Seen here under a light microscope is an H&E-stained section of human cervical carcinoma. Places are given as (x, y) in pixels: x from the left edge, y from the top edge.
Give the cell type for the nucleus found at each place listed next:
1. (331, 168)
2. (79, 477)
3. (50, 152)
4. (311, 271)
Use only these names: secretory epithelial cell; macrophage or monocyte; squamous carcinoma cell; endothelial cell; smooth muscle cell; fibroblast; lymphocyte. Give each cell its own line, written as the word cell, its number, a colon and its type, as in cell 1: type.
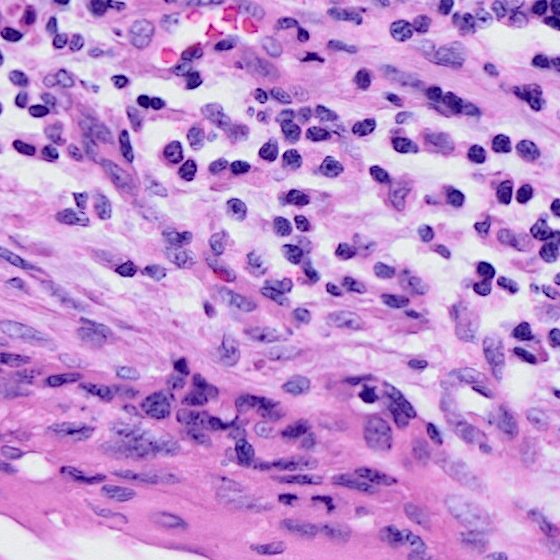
cell 1: lymphocyte
cell 2: squamous carcinoma cell
cell 3: lymphocyte
cell 4: lymphocyte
